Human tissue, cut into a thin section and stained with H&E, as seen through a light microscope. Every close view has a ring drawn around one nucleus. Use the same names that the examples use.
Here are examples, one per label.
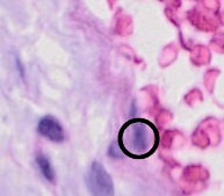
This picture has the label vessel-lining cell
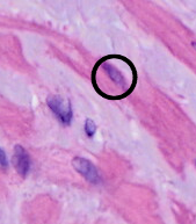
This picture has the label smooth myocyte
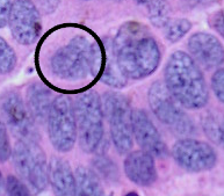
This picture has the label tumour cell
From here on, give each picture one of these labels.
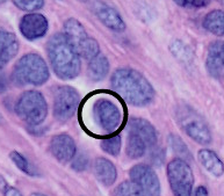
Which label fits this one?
tumour cell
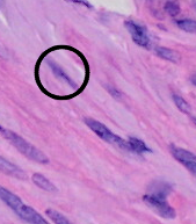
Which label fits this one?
smooth myocyte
